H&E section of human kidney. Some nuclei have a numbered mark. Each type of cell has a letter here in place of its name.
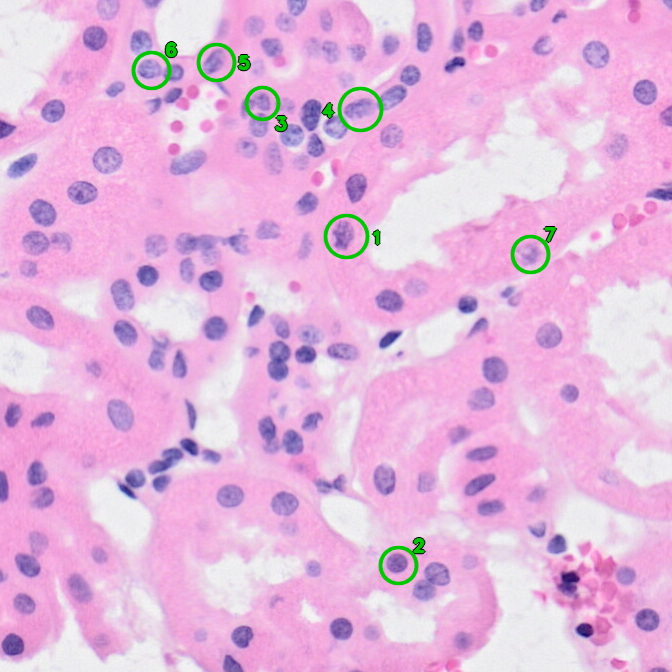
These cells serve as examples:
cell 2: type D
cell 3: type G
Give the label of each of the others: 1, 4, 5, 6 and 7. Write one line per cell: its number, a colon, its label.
1: type D
4: type G
5: type G
6: type G
7: type D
